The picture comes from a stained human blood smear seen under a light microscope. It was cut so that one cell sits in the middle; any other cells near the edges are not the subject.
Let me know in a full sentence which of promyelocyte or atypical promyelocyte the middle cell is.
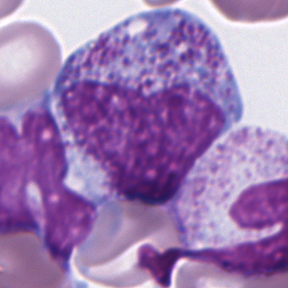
The single cell at the center of the crop is a promyelocyte.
